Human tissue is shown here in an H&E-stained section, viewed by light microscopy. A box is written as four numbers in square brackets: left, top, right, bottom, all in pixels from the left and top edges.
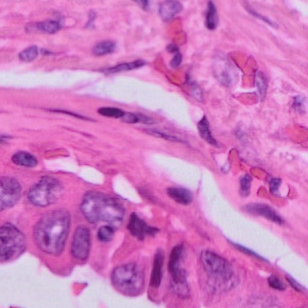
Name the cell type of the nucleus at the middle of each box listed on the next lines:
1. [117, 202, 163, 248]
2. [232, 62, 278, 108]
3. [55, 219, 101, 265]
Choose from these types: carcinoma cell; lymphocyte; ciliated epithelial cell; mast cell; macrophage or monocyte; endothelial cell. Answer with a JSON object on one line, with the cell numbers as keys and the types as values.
{"1": "carcinoma cell", "2": "endothelial cell", "3": "carcinoma cell"}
